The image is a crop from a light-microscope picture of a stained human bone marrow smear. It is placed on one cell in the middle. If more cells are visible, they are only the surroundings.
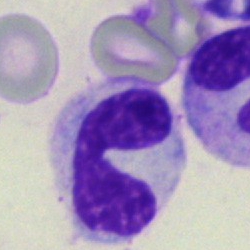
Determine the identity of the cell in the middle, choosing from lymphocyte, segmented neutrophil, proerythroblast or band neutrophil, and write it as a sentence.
To answer, the cell in the center of the crop is a segmented neutrophil.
